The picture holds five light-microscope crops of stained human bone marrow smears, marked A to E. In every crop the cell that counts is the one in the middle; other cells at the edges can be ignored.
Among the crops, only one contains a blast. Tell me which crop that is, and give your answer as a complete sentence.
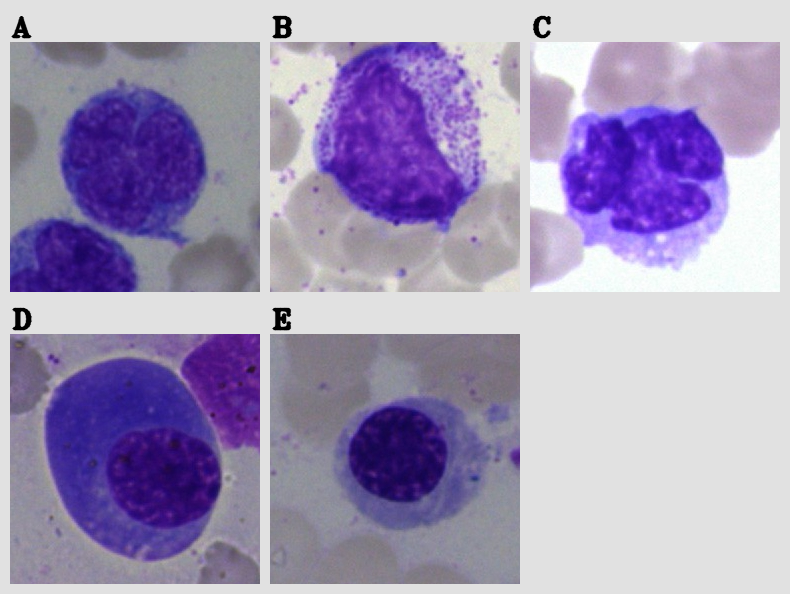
Among all the crops given here, the one with a blast is crop A.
